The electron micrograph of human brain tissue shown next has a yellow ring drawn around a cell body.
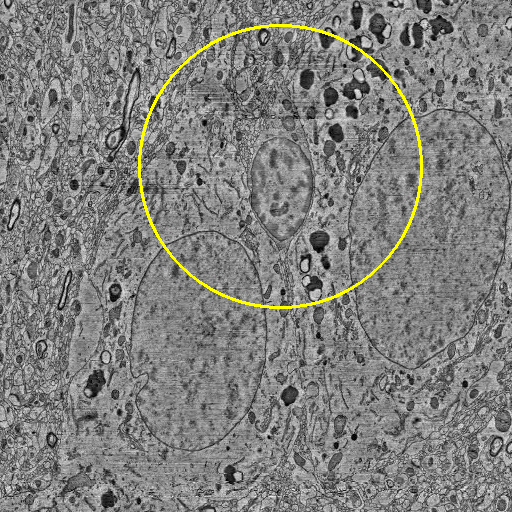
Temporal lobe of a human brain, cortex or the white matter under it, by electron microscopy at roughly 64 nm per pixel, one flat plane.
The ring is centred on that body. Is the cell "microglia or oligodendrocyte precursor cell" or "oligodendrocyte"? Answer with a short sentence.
The cell in question is an oligodendrocyte.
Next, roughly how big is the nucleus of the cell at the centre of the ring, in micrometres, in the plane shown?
Approximately 7 micrometres long and 4 micrometres wide, so clearly longer than it is wide in this plane.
